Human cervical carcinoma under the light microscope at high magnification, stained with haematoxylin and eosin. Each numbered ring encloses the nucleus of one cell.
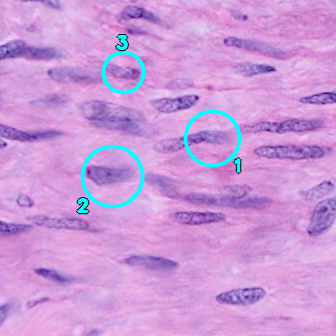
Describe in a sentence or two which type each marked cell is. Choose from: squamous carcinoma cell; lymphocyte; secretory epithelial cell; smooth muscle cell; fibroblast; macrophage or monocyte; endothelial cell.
Cells 1 and 3 are smooth muscle cells. Cell 2 is a fibroblast.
